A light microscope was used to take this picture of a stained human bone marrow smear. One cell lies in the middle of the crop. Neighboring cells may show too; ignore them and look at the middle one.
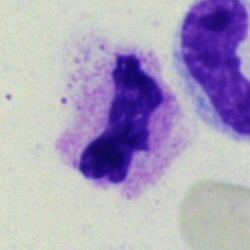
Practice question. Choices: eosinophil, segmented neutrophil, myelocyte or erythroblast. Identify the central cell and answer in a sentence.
At the middle of the frame sits a segmented neutrophil.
